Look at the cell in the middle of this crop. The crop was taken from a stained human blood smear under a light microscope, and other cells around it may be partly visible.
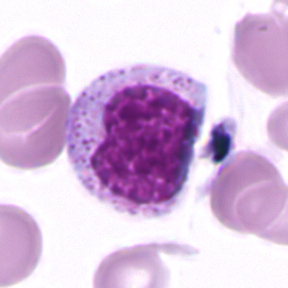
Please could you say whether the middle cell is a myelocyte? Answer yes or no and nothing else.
no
